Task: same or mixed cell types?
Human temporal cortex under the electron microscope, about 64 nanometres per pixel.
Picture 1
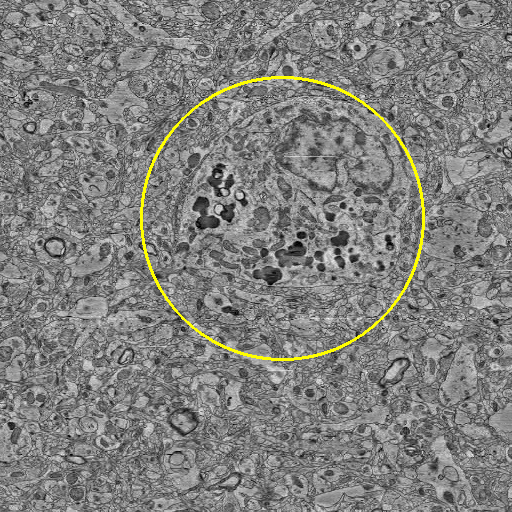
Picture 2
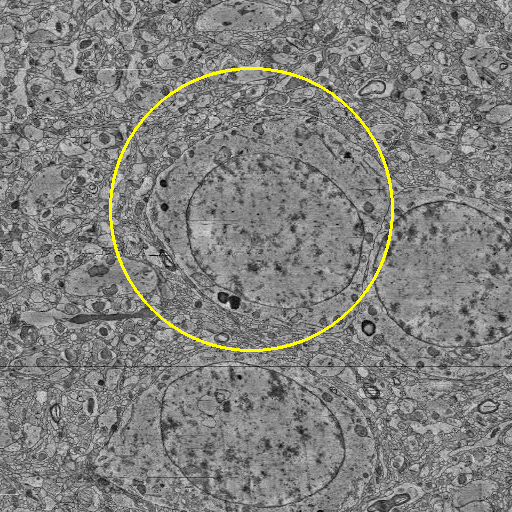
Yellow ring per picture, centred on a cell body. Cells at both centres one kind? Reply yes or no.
no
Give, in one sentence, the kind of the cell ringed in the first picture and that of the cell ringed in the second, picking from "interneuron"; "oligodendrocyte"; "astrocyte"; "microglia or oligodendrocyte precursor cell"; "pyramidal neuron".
For the first picture it is an interneuron; for the second, a pyramidal neuron.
